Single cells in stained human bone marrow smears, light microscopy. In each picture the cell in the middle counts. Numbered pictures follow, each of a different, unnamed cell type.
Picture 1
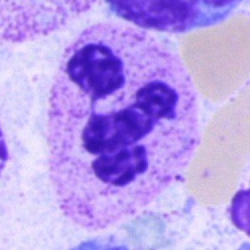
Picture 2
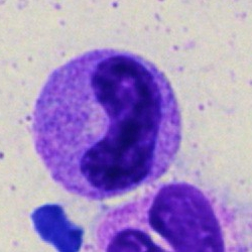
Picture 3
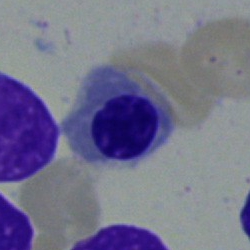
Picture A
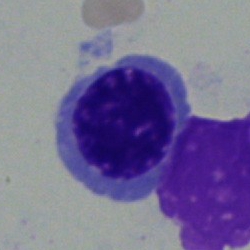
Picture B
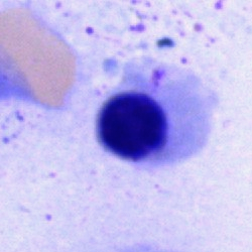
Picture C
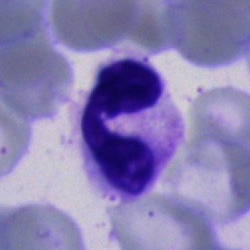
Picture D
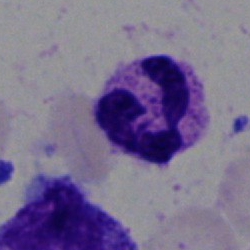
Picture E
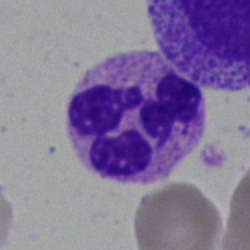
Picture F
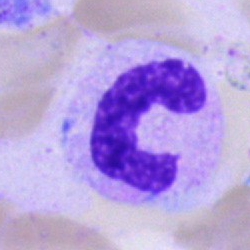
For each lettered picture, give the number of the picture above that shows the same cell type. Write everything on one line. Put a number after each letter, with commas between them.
A 3, B 3, C 1, D 1, E 1, F 2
